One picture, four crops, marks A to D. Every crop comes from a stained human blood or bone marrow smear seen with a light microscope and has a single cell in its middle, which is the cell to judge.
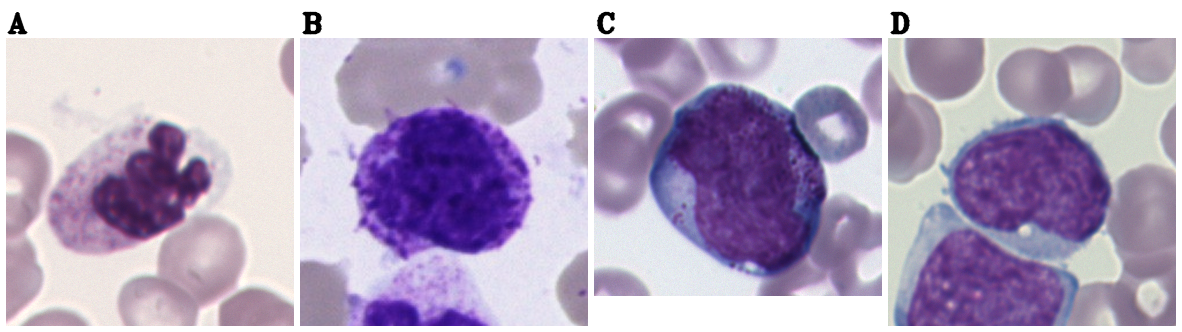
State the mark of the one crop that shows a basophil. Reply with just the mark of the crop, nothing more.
B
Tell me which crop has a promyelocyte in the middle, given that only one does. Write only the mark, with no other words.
C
